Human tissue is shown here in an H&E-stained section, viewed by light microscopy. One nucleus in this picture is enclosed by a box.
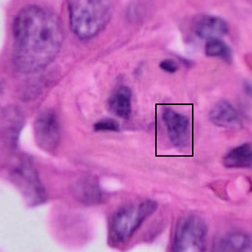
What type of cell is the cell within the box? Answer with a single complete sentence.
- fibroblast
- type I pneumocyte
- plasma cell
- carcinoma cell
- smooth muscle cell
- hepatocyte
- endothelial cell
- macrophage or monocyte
By cell type, the cell within the box is a plasma cell.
